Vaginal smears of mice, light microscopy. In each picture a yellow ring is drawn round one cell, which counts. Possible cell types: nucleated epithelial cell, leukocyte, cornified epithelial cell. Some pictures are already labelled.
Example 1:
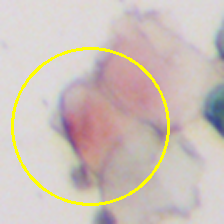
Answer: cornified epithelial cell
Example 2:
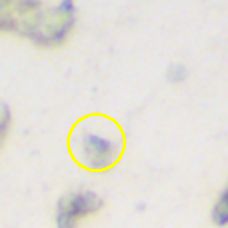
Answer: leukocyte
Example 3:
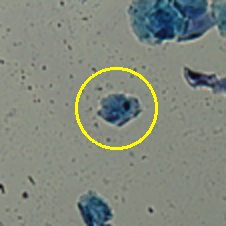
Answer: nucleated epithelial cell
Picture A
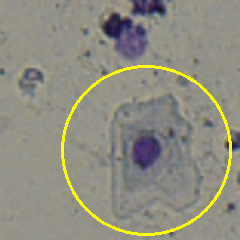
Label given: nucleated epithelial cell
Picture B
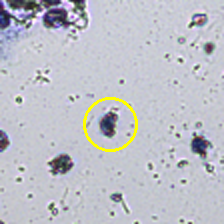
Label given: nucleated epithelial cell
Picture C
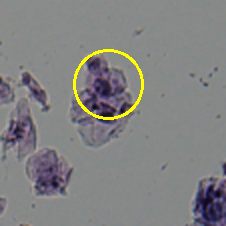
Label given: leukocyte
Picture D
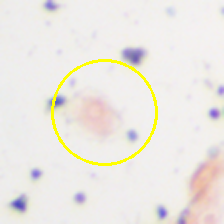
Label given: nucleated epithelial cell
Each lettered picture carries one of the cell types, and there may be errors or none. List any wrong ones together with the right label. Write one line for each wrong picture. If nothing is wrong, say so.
B: leukocyte, not nucleated epithelial cell
C: nucleated epithelial cell, not leukocyte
